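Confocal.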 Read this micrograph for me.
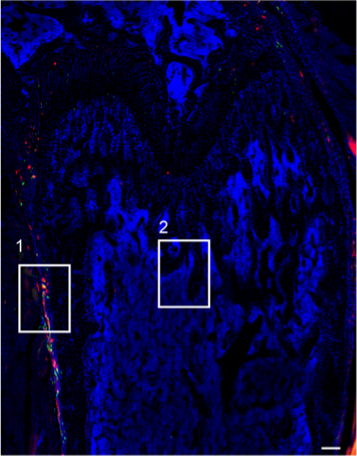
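Along the outer left edge of the bone runs a thin, continuous strip of cells: the periosteum. In this strip lie red and green cells, some of them overlapping to give yellow. They are elongated and line up along the bone surface. Inside the bone, in the marrow region, there are dense blue nuclei between irregular spaces, but almost no red or green cells. So the coloured cells are found at the outer surface rather than in the interior.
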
